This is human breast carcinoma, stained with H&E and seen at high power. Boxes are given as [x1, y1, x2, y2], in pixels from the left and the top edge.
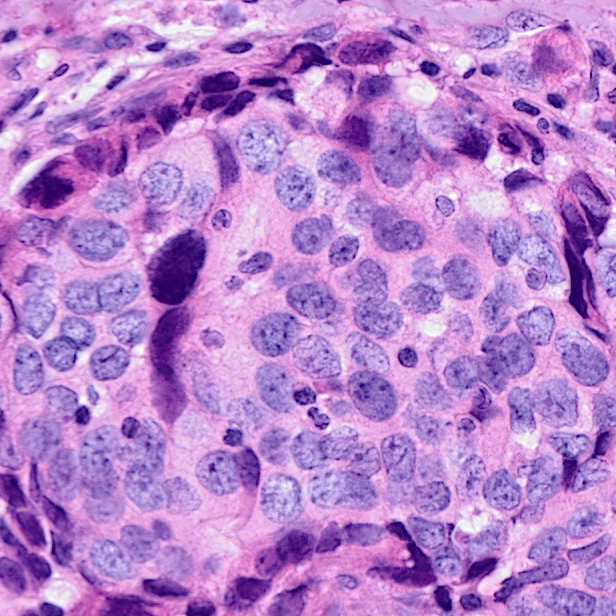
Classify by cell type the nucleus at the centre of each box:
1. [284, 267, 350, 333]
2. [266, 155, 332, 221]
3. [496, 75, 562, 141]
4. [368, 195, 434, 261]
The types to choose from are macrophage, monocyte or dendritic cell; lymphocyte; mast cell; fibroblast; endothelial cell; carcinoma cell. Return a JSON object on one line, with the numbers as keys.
{"1": "carcinoma cell", "2": "carcinoma cell", "3": "lymphocyte", "4": "carcinoma cell"}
